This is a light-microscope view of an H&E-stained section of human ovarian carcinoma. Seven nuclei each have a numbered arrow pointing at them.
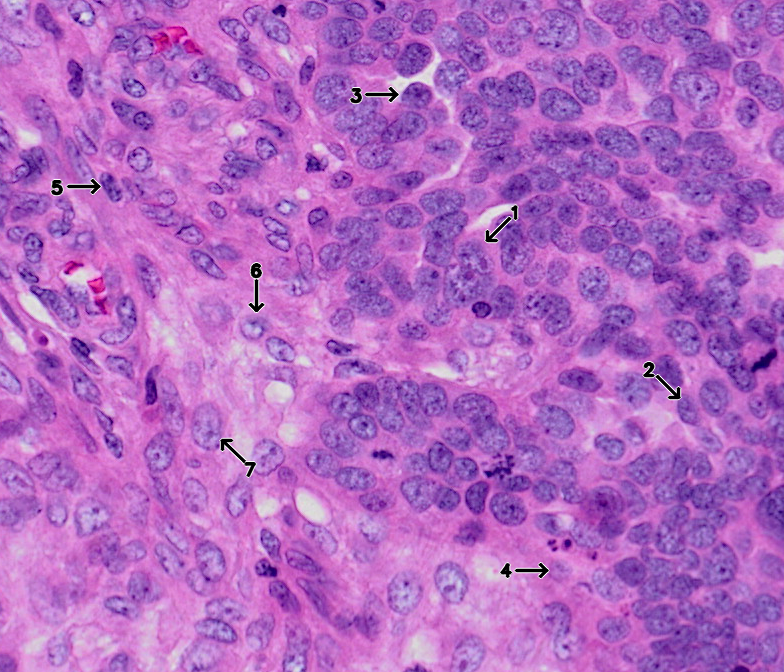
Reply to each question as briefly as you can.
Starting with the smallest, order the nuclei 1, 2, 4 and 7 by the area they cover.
4, 2, 1, 7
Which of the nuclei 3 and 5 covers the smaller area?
5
